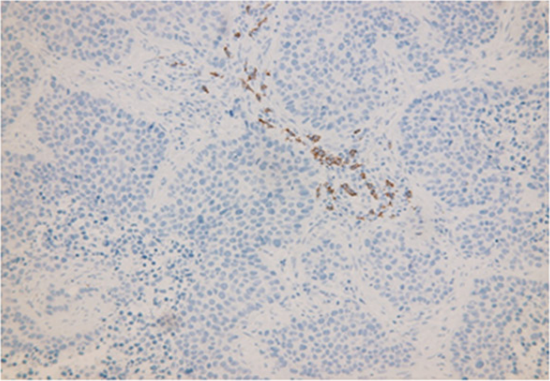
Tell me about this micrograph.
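Nests of tumor cells with round to oval blue nuclei are separated by thin strands of pale stroma. The tumor cells are tightly packed and carry no brown stain. A small group of brown-stained cells lies within a narrow stromal band running between the nests.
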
